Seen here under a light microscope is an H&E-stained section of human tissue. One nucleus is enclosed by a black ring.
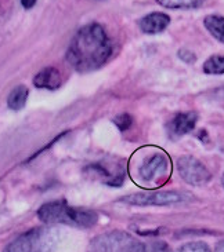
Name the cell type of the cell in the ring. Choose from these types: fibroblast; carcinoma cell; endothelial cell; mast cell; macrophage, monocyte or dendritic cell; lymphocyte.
endothelial cell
